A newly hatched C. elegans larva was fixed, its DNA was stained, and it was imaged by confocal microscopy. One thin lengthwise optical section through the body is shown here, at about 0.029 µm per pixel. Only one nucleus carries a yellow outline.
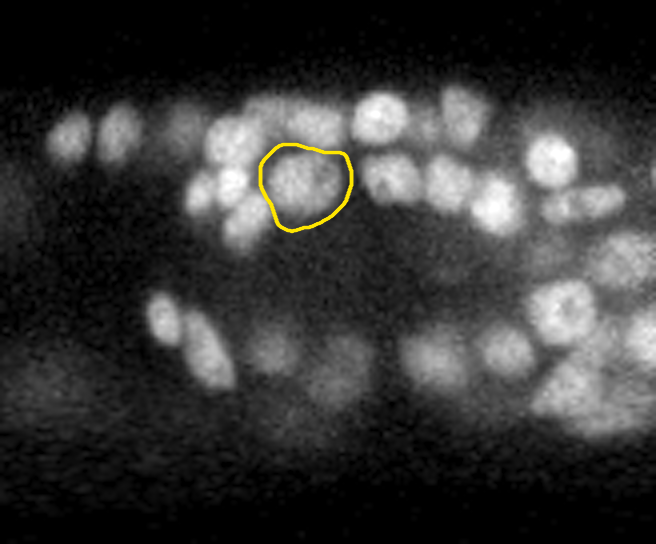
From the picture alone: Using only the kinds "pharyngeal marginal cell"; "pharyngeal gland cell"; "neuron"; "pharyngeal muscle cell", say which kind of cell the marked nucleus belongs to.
pharyngeal gland cell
